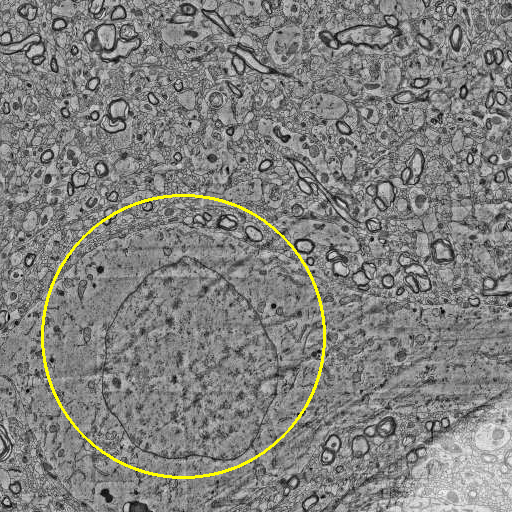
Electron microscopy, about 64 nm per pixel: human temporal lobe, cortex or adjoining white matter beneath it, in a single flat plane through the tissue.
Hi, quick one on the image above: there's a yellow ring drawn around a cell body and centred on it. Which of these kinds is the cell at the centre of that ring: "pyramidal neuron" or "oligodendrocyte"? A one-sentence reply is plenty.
The cell at the centre of the ring is a pyramidal neuron.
